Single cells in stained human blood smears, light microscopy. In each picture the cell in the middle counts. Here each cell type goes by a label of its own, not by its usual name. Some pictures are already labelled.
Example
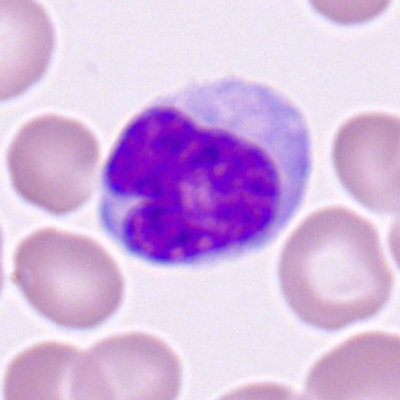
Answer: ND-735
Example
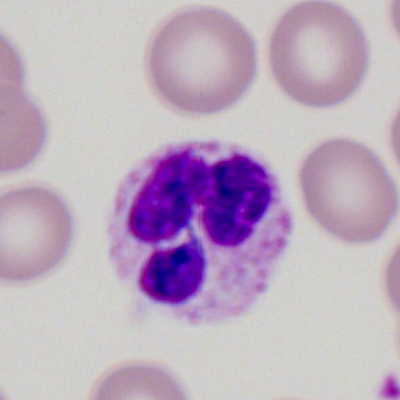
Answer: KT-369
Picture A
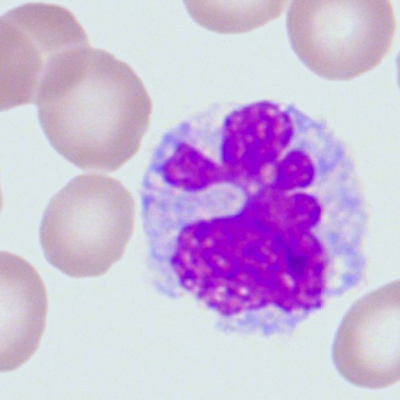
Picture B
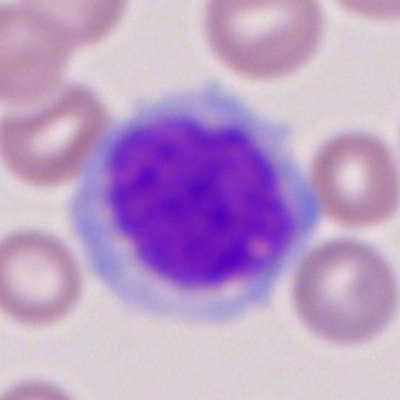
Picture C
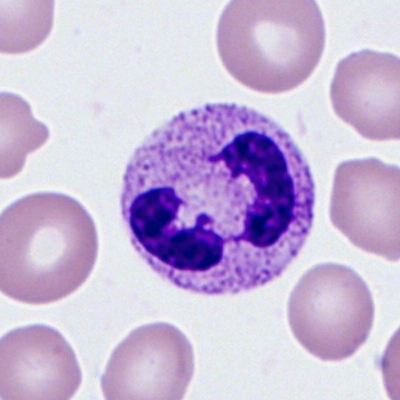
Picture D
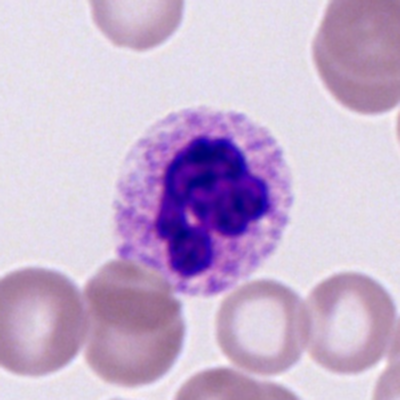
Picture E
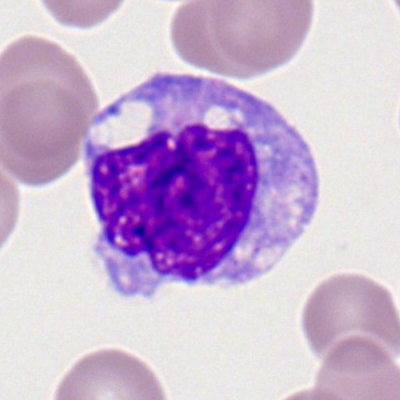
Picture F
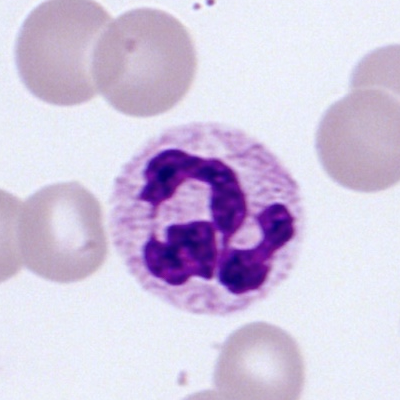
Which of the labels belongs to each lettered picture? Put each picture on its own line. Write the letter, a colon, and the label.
A: ND-735
B: ND-735
C: KT-369
D: KT-369
E: ND-735
F: KT-369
